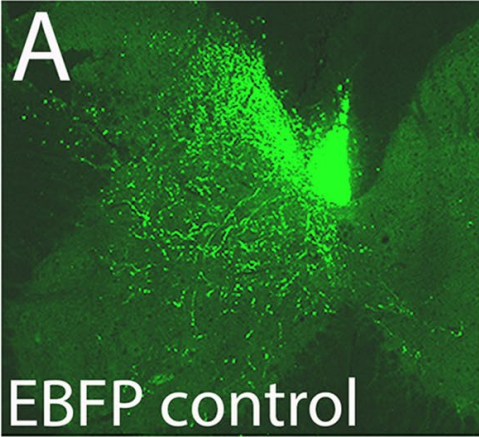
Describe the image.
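A dense, bright green bundle sits at the dorsal midline. Fine green fibres and puncta spread from it mostly into the grey matter on one side, reaching down toward the ventral part of that half. The other half of the section is largely dark, with only a few scattered fibres beyond the midline.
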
